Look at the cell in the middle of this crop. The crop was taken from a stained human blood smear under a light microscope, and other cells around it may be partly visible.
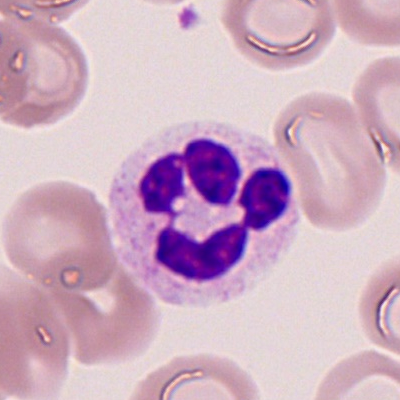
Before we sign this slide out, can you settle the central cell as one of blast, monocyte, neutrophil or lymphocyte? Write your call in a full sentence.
Positioned in the middle of the crop is a neutrophil.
